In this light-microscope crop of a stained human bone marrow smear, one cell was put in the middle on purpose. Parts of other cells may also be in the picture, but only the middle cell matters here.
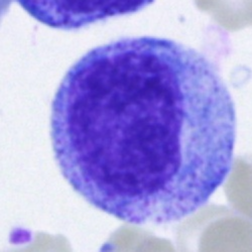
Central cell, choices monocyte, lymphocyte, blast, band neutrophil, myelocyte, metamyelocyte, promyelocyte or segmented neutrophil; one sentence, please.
The centrally located cell in the crop is a promyelocyte.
